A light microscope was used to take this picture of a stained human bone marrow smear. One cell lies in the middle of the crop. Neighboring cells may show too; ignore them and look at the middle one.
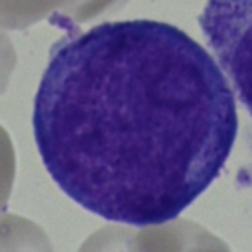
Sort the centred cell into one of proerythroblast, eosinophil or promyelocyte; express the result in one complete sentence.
The centrally located cell in the crop is a proerythroblast.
